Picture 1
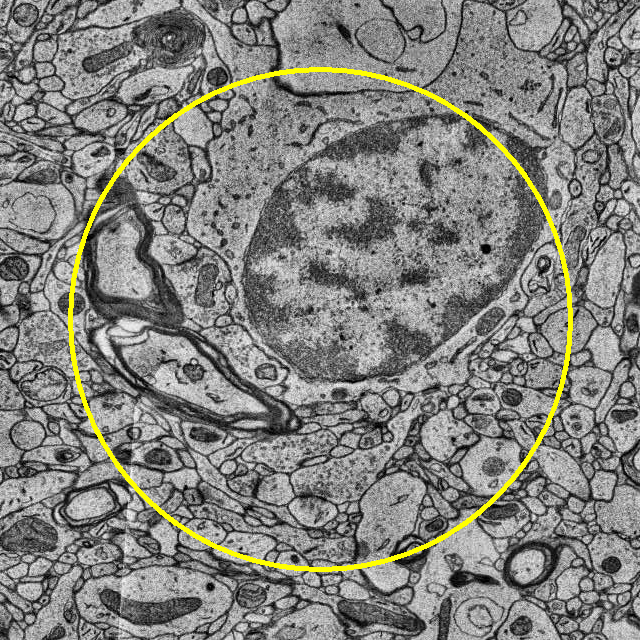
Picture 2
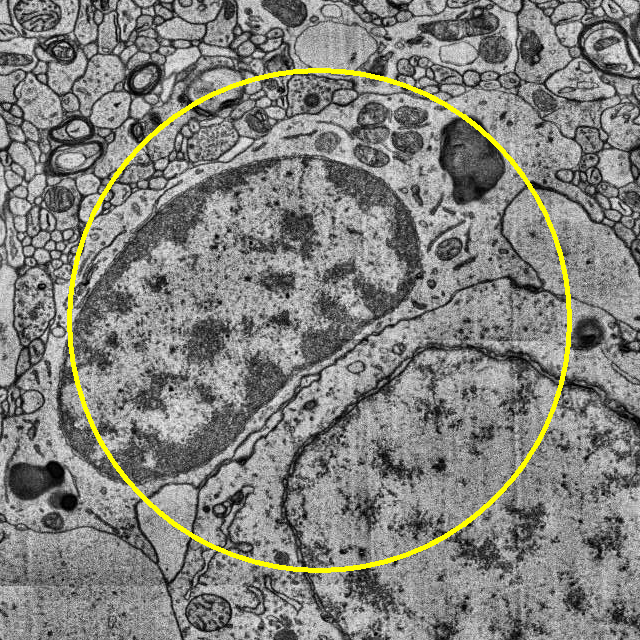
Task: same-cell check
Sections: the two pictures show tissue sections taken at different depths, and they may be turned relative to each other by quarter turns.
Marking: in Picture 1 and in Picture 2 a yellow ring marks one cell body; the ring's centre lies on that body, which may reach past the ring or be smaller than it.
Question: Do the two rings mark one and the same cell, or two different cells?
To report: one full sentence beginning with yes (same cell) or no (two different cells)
Yes, the two rings refer to one cell in the tissue.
